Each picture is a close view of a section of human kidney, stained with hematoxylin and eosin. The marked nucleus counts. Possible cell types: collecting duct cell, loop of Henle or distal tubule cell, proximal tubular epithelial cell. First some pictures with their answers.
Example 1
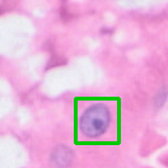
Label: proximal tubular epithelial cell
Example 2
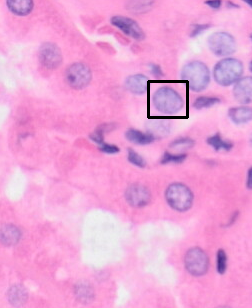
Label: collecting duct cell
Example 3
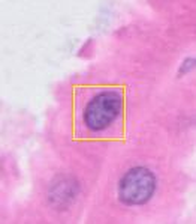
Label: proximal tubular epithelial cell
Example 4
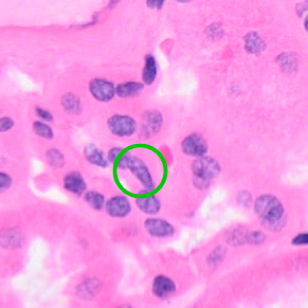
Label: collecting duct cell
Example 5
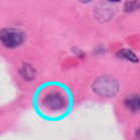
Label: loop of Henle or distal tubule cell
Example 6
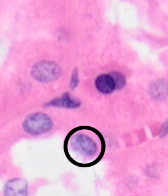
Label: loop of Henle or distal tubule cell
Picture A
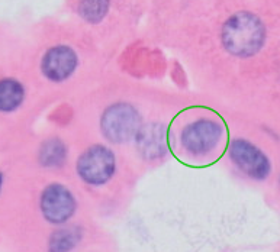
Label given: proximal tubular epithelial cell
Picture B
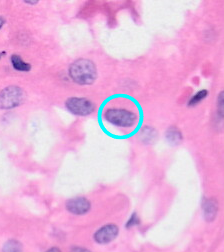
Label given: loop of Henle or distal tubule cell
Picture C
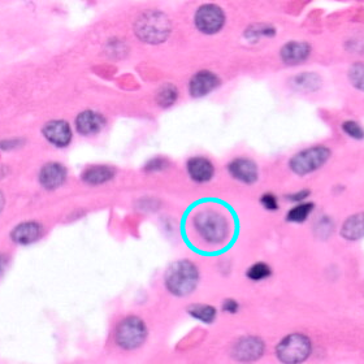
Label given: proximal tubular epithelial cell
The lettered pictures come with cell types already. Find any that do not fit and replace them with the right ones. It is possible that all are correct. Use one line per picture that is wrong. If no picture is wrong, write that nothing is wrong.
A: change proximal tubular epithelial cell to collecting duct cell
C: change proximal tubular epithelial cell to loop of Henle or distal tubule cell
